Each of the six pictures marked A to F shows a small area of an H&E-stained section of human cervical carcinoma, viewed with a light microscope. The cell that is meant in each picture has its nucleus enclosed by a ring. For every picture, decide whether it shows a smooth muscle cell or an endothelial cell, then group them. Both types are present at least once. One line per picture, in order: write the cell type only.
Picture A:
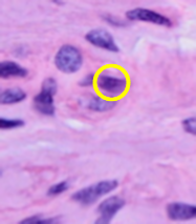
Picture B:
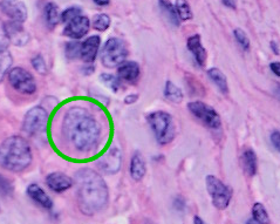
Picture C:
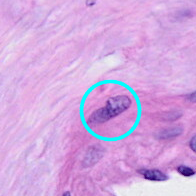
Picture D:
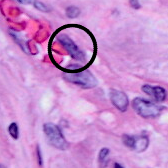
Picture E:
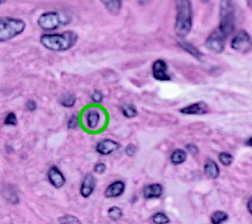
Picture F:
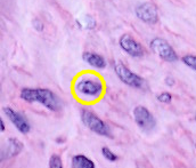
endothelial cell
endothelial cell
smooth muscle cell
endothelial cell
smooth muscle cell
smooth muscle cell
